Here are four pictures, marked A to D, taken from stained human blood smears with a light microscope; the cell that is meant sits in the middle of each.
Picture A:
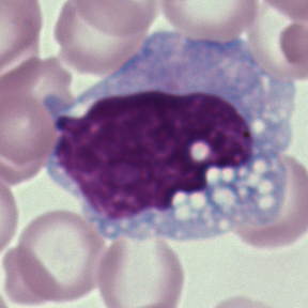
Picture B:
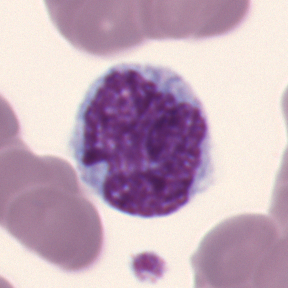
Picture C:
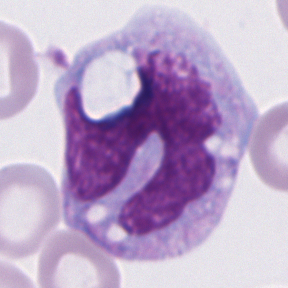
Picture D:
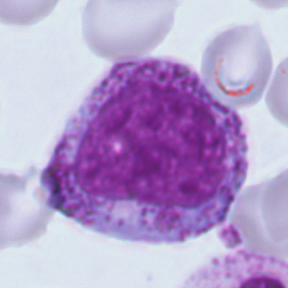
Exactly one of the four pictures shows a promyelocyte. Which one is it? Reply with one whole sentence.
Picture D shows the promyelocyte.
